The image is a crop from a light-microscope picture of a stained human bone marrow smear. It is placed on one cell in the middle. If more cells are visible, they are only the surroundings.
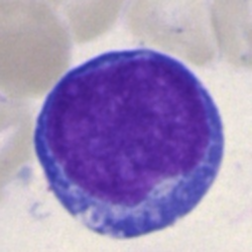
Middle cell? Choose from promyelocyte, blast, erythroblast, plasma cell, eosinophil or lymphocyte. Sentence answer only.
The cell of interest, in the center, is a blast.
